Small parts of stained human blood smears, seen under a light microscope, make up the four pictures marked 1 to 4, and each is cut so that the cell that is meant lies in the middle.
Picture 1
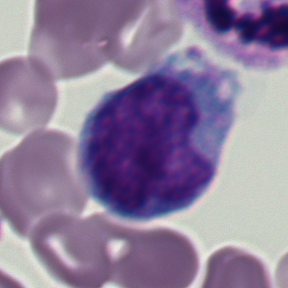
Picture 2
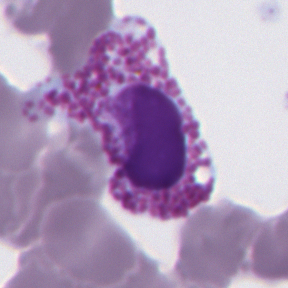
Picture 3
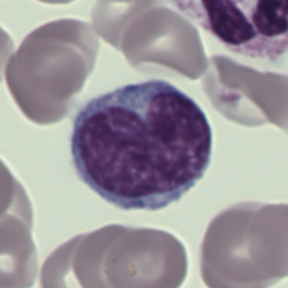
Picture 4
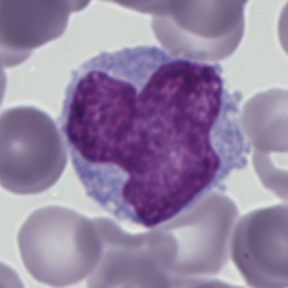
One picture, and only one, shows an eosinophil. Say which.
2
